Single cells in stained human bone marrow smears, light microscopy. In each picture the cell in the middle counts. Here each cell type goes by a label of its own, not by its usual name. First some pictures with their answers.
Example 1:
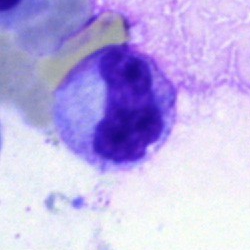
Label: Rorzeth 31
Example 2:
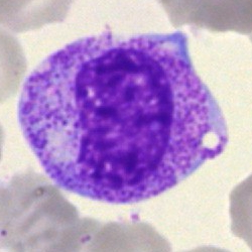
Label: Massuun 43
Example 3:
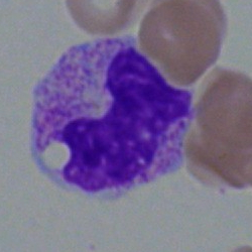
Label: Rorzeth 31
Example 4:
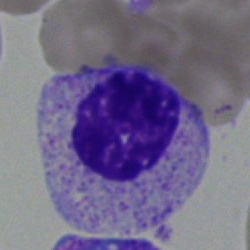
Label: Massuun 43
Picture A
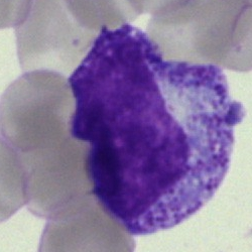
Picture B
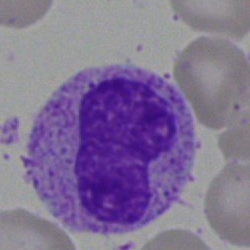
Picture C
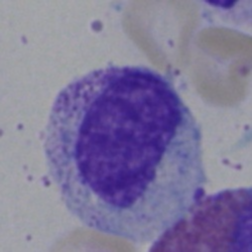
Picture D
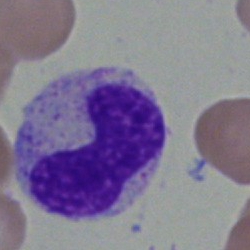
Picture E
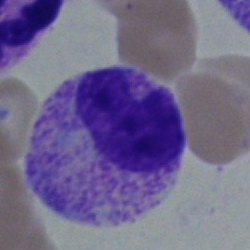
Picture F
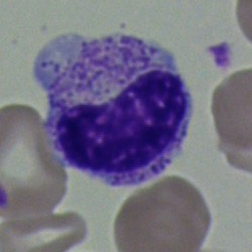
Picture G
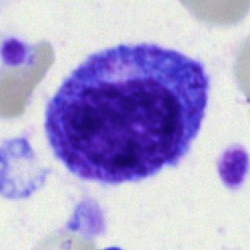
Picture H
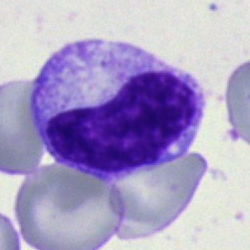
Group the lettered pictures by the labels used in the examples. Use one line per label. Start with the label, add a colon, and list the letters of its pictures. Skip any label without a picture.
Rorzeth 31: B, C, D, E, F, H
Massuun 43: A, G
